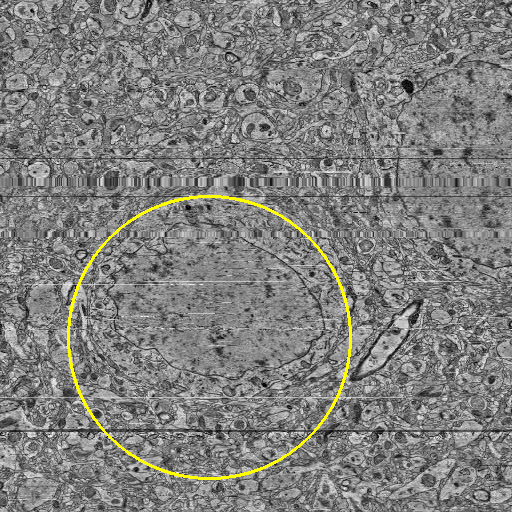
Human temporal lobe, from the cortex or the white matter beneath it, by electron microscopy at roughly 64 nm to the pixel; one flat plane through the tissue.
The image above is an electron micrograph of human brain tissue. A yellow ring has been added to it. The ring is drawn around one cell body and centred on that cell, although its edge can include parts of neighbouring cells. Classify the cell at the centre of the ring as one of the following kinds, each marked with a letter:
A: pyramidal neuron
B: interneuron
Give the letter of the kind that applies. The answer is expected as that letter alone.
A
